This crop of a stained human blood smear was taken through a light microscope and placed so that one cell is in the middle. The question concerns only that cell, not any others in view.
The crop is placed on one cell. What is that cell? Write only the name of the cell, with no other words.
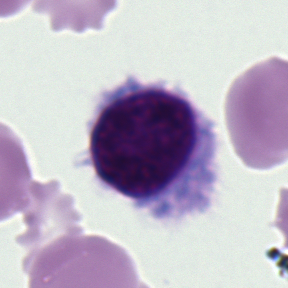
hairy cell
